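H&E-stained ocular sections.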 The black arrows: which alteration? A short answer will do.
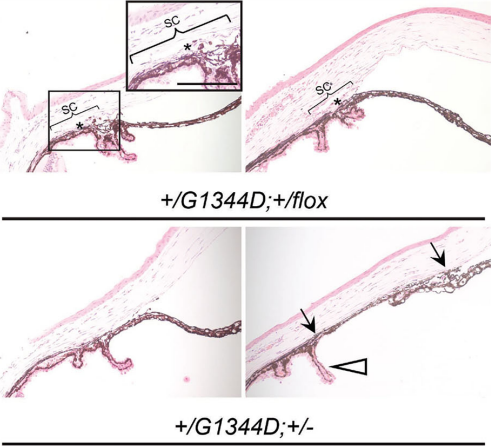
Severe iridocorneal adhesion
